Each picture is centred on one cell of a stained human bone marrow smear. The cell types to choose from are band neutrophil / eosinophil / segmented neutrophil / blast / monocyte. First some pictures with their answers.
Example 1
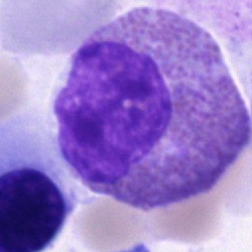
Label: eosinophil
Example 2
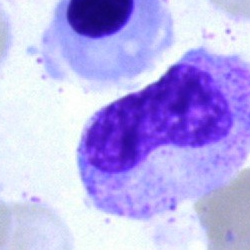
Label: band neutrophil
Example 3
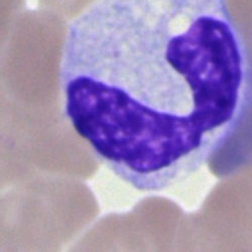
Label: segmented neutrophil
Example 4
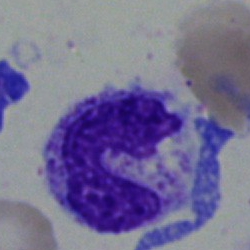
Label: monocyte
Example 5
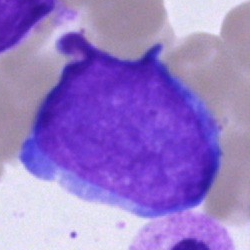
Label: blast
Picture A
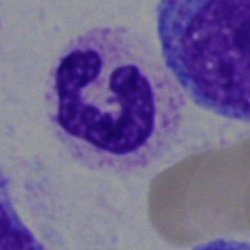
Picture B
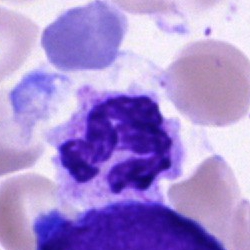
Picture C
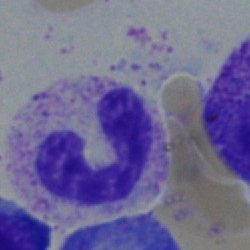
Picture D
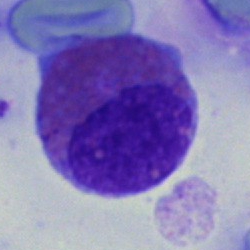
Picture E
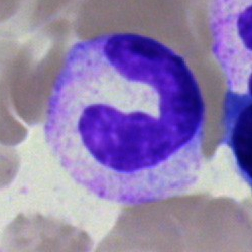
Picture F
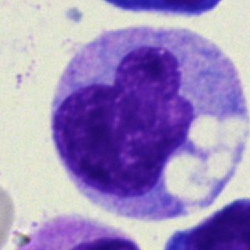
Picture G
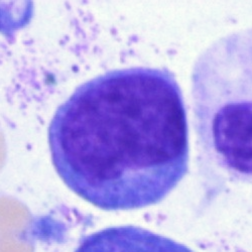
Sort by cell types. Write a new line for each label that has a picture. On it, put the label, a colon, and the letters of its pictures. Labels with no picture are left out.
band neutrophil: C, E
eosinophil: D
segmented neutrophil: A, B
blast: G
monocyte: F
